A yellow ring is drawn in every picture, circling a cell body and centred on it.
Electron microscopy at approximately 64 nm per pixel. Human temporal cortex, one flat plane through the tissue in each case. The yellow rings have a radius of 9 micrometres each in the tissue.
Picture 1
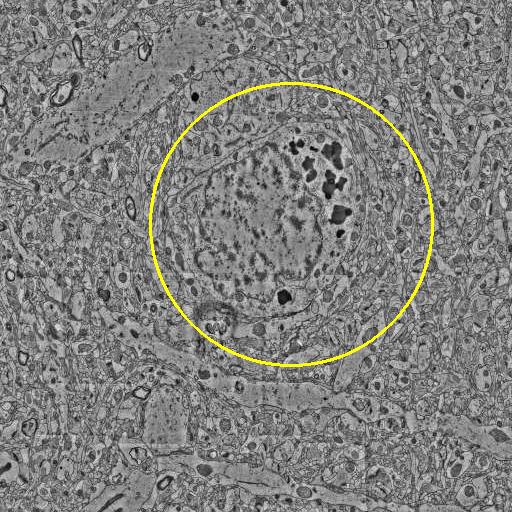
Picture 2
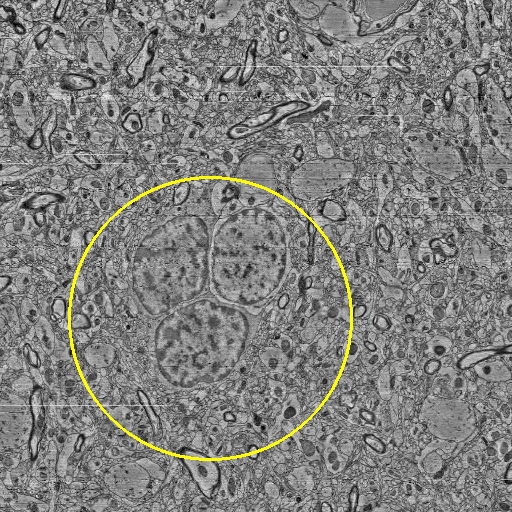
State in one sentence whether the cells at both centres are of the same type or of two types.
The cells at the two ring centres, one per picture, are of two types.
